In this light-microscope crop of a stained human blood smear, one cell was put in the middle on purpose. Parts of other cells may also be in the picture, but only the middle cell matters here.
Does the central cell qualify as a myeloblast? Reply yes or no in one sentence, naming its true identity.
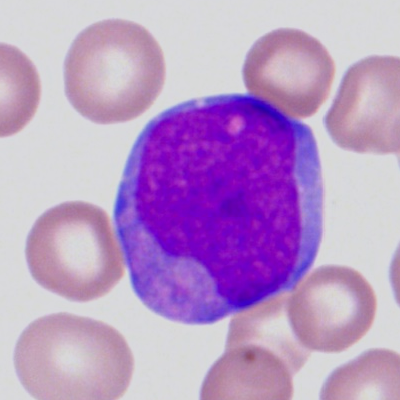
Yes, the middle cell in this crop is a myeloblast.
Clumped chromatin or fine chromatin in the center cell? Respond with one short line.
Check the chromatin: it is fine and not coarsely clumped.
